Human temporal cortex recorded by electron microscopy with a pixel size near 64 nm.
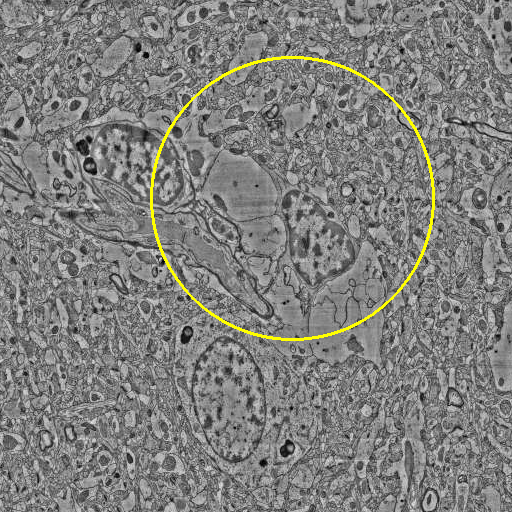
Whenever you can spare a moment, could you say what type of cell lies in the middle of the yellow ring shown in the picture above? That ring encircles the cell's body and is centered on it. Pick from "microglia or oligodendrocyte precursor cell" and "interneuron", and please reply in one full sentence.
The cell whose body sits at the middle of the yellow ring is a microglial cell or oligodendrocyte precursor cell.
